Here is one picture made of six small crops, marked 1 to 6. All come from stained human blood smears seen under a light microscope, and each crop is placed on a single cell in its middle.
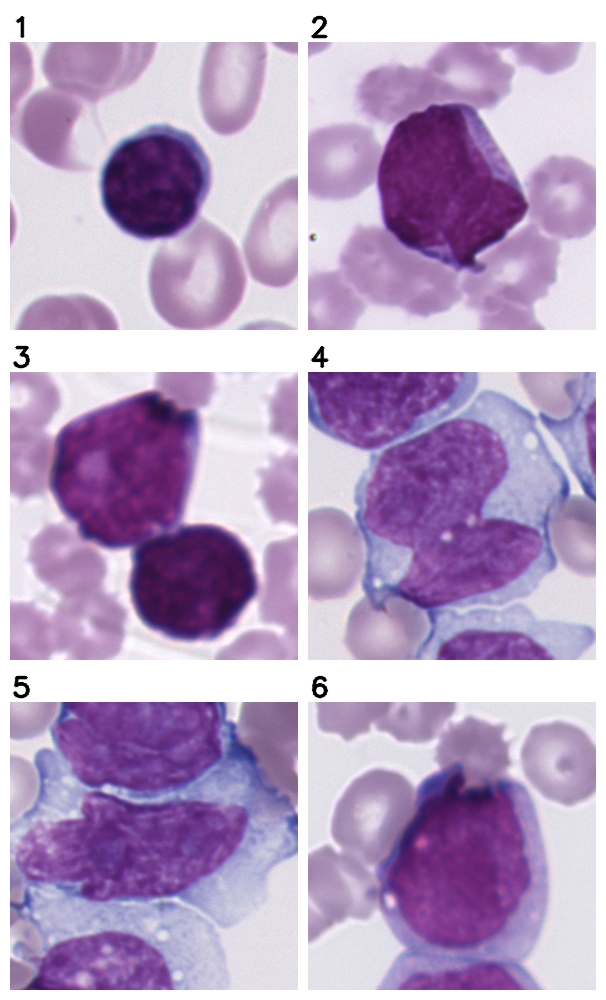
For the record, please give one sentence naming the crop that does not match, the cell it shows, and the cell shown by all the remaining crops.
Crop 1 holds a lymphocyte, unlike the remaining crops, all of which hold blasts.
